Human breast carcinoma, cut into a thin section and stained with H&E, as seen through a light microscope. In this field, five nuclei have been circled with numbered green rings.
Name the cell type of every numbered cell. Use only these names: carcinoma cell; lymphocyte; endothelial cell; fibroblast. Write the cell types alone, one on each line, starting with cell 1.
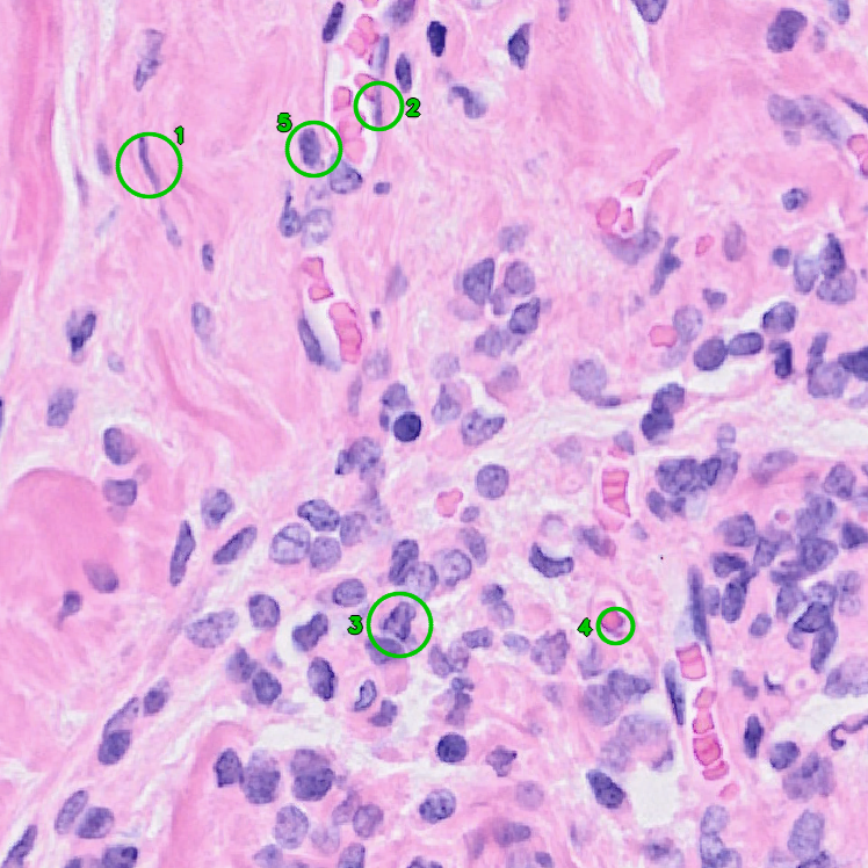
fibroblast
endothelial cell
carcinoma cell
endothelial cell
endothelial cell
